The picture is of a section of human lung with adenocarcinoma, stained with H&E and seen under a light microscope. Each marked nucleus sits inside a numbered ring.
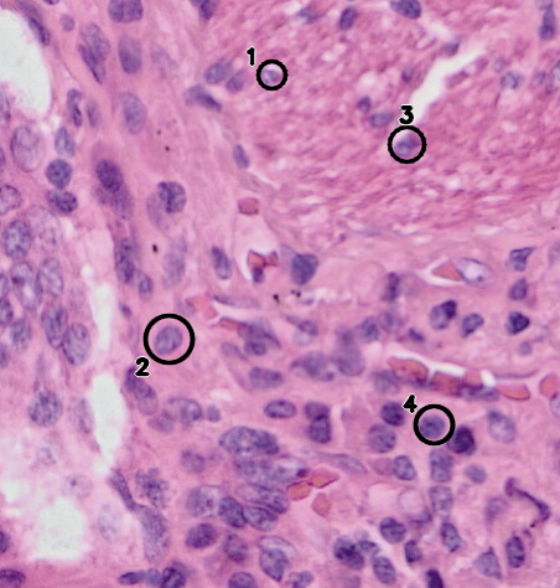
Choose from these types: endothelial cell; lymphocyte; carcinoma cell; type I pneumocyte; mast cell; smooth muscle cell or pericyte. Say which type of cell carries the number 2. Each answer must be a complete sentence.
Cell 2 should be recorded as a mast cell.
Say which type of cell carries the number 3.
The cell numbered 3 represents a smooth muscle cell or pericyte.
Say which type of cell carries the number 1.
Cell 1 of the marked set is a smooth muscle cell or pericyte.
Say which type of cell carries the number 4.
The marked cell bearing number 4 is a lymphocyte.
